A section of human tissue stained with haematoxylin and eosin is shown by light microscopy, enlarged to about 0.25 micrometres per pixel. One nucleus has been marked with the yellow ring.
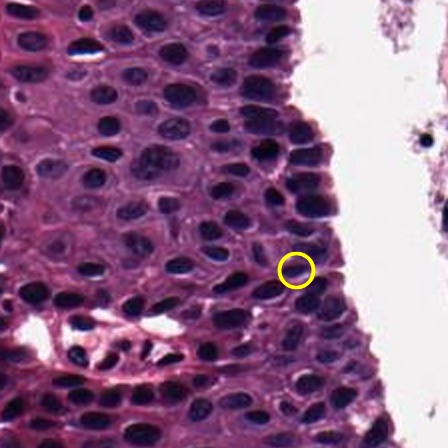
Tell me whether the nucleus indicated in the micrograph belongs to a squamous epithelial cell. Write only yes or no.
yes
